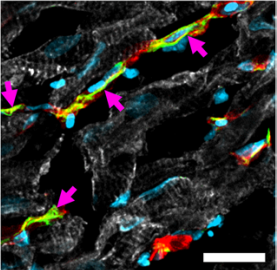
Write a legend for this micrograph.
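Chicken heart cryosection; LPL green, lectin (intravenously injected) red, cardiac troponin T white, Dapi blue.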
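Thin branching capillaries, red with yellow overlap, wind between the muscle cells. Green is confined to these capillary strands, with little or none over the muscle cells.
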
